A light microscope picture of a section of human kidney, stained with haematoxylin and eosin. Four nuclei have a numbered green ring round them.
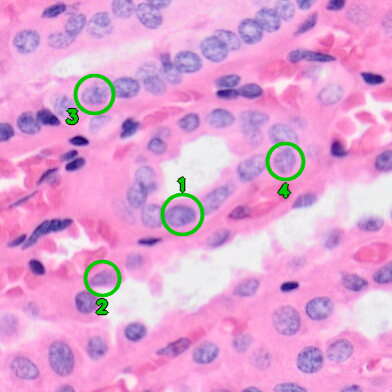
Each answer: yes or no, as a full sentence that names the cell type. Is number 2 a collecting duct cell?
No, the correct answer for cell 2 is a loop of Henle or distal tubule cell, not a collecting duct cell.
